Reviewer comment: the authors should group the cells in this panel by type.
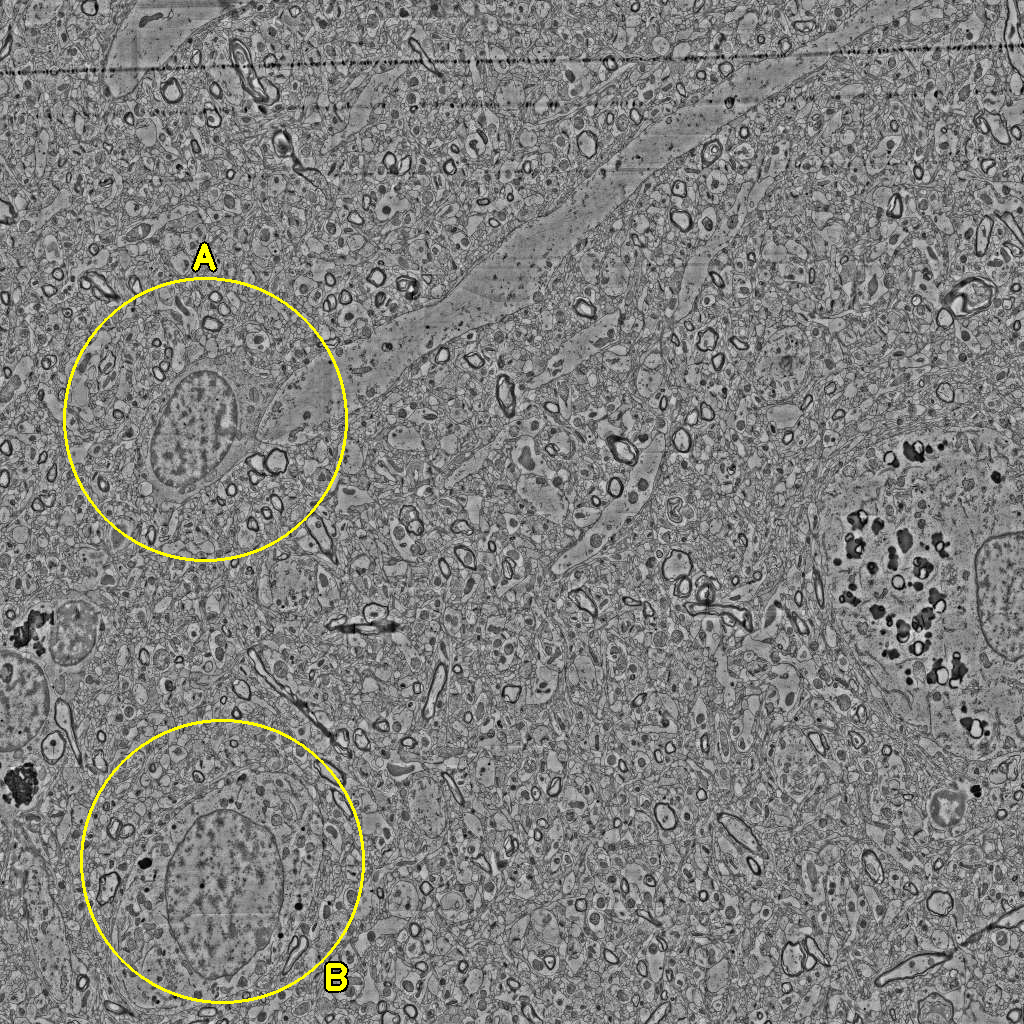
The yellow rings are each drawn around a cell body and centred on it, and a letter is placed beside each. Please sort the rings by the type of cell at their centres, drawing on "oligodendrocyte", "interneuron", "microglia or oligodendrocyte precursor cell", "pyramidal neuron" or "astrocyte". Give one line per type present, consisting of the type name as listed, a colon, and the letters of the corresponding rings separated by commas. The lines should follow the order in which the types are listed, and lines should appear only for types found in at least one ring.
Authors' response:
oligodendrocyte: A
interneuron: B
